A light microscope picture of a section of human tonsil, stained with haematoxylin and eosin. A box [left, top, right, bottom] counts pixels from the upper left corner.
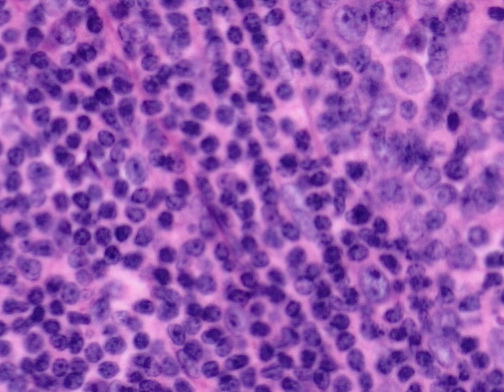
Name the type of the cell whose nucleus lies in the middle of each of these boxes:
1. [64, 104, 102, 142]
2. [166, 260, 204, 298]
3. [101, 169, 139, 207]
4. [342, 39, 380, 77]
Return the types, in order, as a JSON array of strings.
["small lymphocyte", "small lymphocyte", "small lymphocyte", "proliferating B cell"]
